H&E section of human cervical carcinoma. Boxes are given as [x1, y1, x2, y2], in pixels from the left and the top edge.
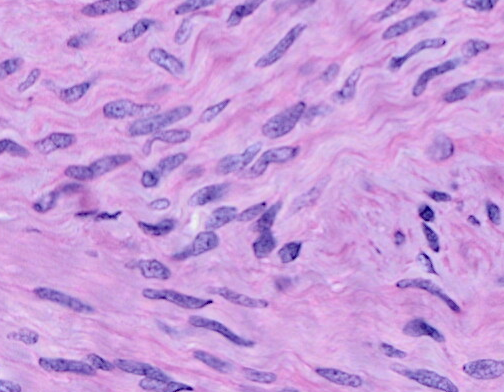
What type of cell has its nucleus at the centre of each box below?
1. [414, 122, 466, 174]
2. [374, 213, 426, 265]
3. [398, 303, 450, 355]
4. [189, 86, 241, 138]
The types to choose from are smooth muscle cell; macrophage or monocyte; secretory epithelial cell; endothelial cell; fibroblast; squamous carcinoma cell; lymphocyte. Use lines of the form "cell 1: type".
cell 1: smooth muscle cell
cell 2: smooth muscle cell
cell 3: fibroblast
cell 4: smooth muscle cell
